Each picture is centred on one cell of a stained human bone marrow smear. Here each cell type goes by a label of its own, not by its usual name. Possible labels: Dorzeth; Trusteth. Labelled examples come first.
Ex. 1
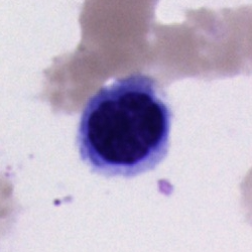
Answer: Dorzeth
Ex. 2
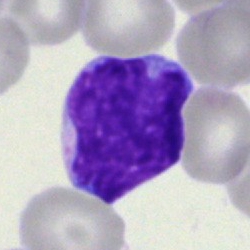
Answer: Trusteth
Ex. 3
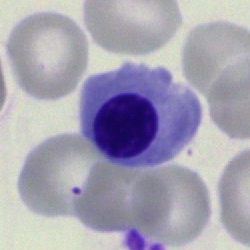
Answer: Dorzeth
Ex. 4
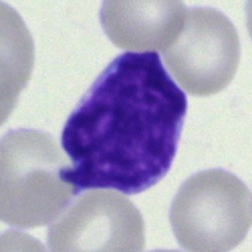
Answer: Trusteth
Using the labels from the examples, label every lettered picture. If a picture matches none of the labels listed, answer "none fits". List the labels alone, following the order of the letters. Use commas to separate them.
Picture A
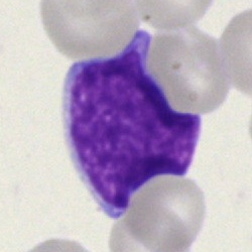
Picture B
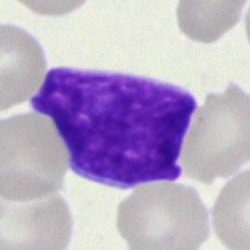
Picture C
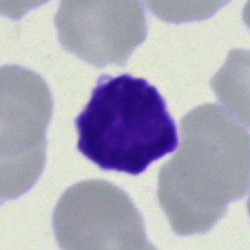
Trusteth, Trusteth, none fits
